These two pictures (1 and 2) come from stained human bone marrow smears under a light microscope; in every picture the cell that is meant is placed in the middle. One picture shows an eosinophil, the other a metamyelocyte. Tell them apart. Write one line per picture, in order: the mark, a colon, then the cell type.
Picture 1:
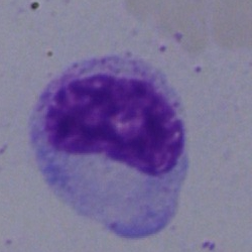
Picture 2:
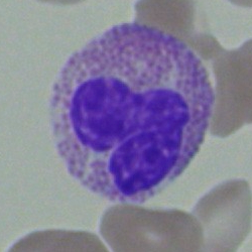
1: metamyelocyte
2: eosinophil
